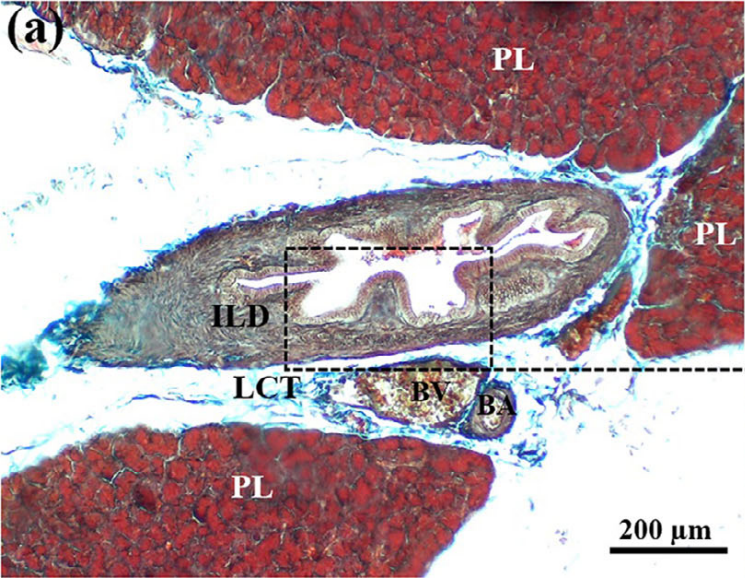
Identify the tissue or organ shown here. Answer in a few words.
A: Exocrine pancreas.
